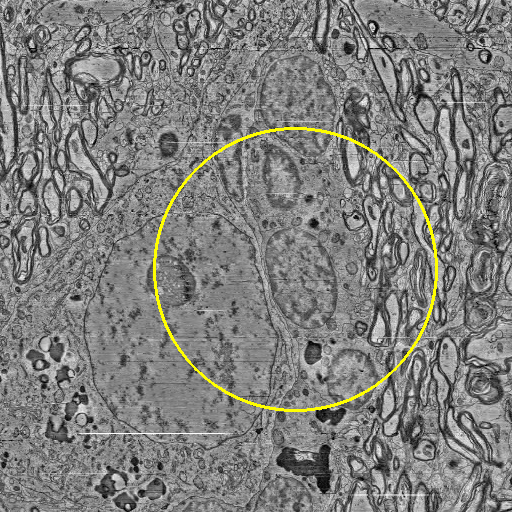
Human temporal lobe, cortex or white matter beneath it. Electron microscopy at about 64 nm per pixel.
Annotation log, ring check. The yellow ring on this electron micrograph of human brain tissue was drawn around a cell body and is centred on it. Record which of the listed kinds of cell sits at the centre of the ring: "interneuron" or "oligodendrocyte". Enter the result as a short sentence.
The cell at the centre of the ring is an oligodendrocyte.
